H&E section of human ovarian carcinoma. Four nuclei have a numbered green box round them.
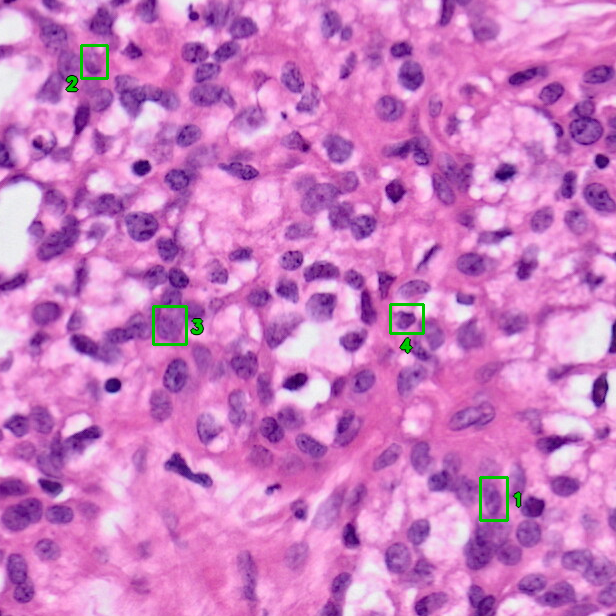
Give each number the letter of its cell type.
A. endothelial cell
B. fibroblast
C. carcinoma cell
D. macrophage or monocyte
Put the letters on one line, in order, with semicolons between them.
C; C; C; D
